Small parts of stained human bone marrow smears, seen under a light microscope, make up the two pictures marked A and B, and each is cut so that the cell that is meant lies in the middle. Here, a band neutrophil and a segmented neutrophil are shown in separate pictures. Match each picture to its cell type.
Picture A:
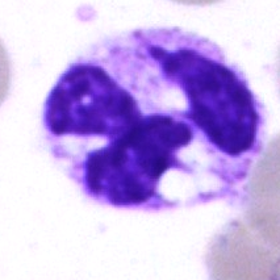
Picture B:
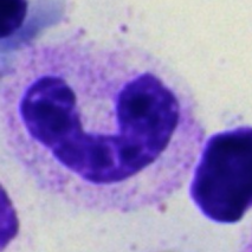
A: segmented neutrophil
B: band neutrophil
